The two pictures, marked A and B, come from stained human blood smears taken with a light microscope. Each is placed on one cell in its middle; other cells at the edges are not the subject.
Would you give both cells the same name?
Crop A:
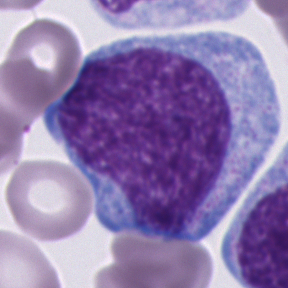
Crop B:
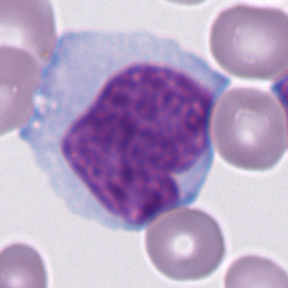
no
